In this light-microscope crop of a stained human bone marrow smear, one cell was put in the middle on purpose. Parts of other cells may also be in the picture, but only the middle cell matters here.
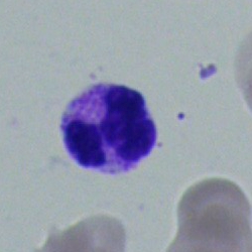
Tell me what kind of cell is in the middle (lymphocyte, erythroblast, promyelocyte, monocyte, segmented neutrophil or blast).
segmented neutrophil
